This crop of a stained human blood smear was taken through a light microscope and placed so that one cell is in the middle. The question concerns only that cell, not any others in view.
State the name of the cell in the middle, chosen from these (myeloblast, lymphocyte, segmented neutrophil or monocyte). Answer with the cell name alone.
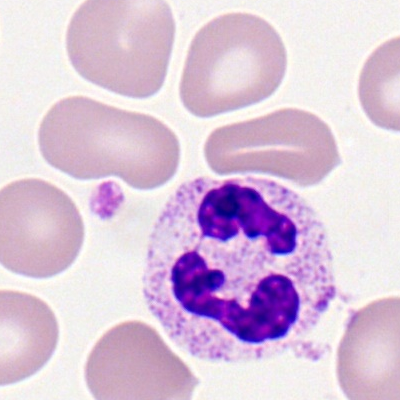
segmented neutrophil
